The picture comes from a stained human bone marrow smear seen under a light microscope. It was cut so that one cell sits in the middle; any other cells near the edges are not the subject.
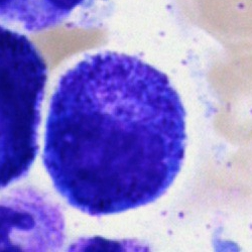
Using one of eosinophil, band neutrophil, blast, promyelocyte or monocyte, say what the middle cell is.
promyelocyte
